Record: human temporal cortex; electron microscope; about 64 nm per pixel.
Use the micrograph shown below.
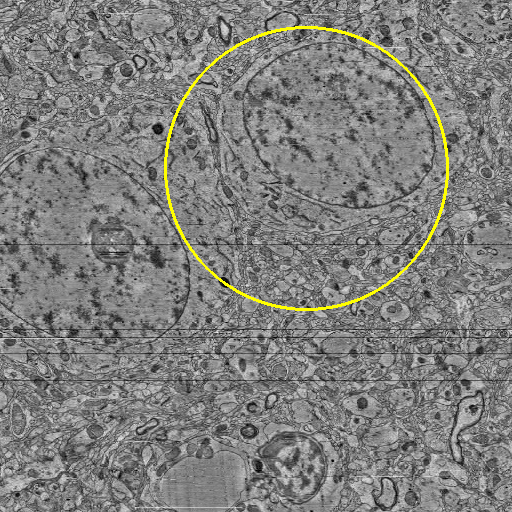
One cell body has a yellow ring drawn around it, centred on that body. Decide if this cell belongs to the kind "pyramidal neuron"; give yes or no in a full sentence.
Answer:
Yes, the cell lying at the ring's centre in the micrograph is of the kind given.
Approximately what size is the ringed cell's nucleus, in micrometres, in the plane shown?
Roughly 13 by 10 micrometres is the size of the nucleus in this plane.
